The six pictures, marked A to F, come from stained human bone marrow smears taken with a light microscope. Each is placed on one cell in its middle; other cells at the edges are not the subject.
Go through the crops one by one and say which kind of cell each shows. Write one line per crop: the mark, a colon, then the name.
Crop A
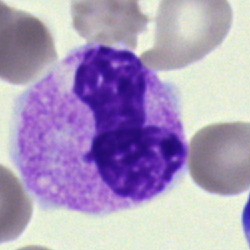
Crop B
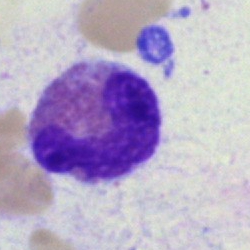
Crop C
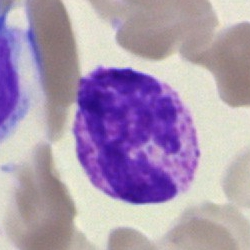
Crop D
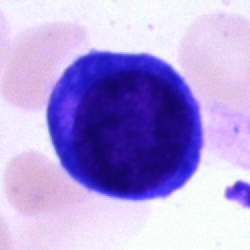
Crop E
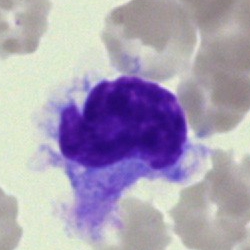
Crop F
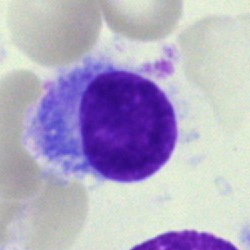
A: band neutrophil
B: basophil
C: basophil
D: proerythroblast
E: hairy cell
F: hairy cell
